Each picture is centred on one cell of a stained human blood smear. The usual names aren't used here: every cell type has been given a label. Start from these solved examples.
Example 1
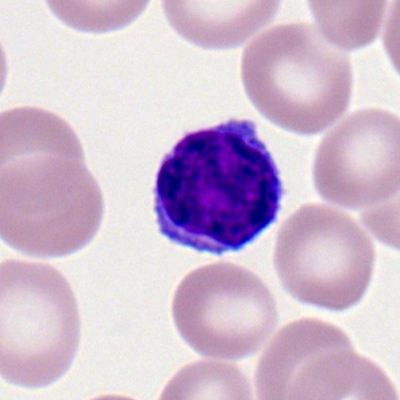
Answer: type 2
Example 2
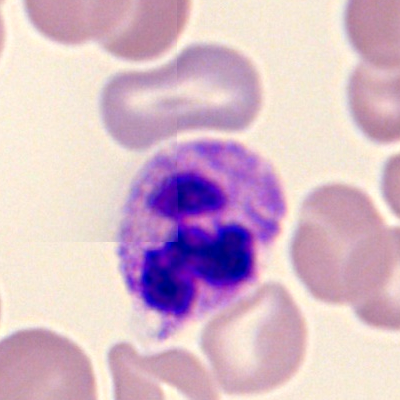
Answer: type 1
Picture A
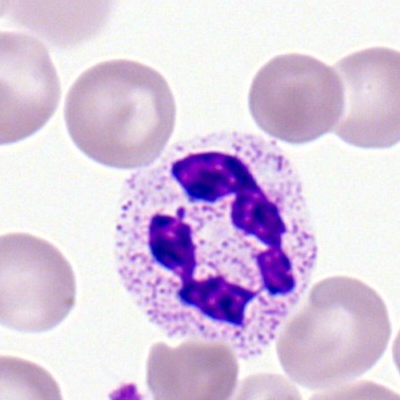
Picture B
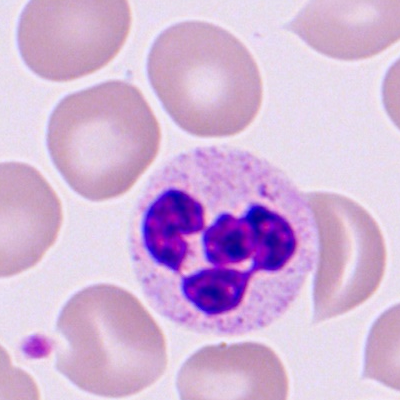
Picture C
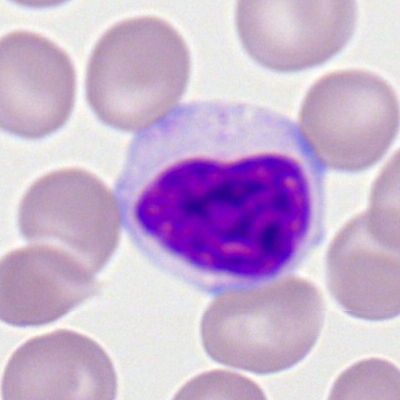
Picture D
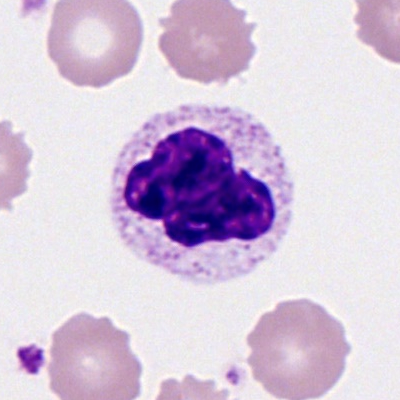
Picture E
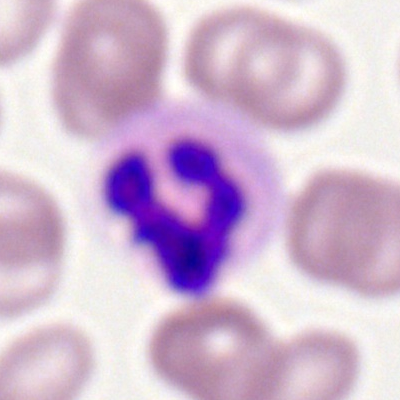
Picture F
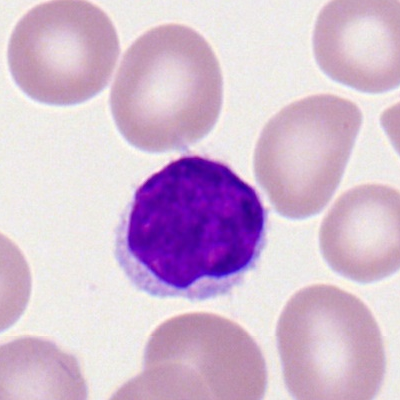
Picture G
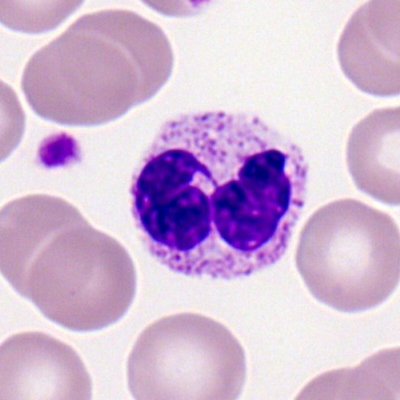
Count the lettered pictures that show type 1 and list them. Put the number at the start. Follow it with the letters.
5, namely A, B, D, E, G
